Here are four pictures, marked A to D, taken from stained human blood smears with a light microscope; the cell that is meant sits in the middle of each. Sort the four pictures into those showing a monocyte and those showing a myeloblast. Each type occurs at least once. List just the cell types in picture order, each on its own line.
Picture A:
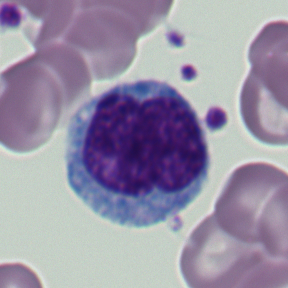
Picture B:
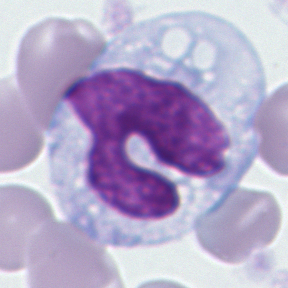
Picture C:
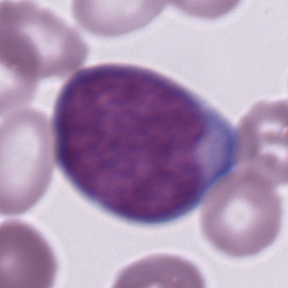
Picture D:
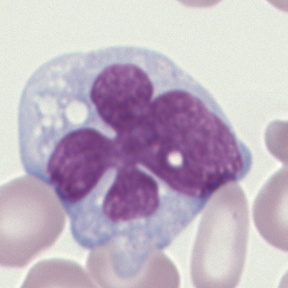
monocyte
monocyte
myeloblast
monocyte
